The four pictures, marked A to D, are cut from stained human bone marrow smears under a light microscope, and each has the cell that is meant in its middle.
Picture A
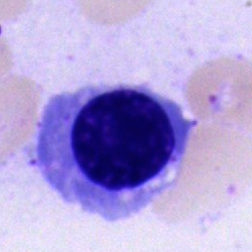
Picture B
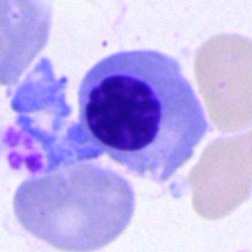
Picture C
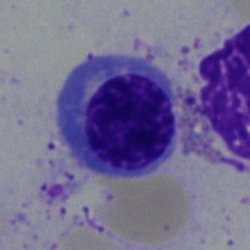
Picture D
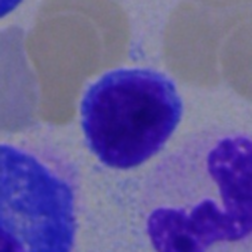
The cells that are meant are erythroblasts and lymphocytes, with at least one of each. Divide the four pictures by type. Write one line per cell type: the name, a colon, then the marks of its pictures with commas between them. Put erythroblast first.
erythroblast: A, B, C
lymphocyte: D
